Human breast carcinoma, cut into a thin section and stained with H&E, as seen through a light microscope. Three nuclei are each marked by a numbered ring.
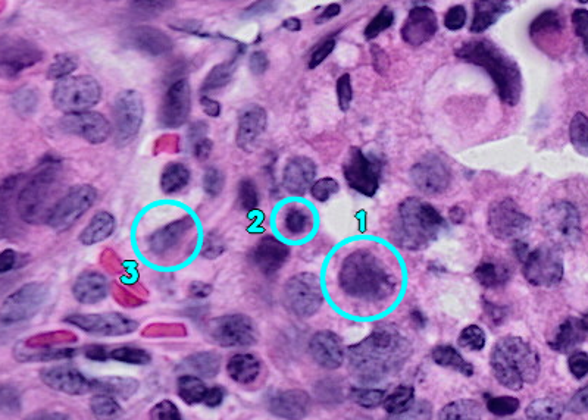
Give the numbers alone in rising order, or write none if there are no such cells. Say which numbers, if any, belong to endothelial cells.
3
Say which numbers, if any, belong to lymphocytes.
2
